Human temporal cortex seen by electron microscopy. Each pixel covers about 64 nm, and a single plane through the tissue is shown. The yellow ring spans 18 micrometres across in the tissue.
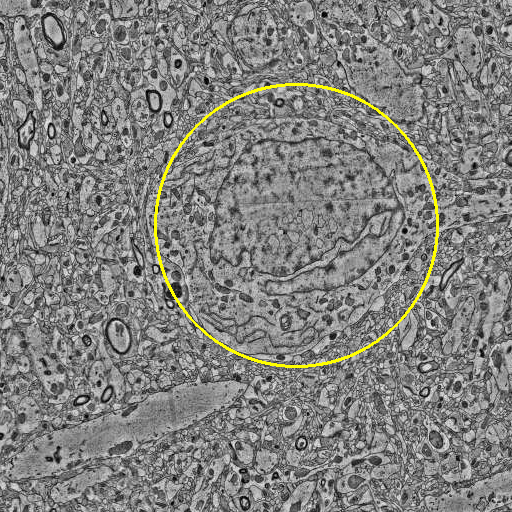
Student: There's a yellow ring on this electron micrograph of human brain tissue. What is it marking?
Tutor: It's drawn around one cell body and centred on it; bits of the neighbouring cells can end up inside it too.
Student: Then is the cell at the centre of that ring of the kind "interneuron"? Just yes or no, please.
yes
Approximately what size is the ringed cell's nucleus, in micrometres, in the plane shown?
The nucleus appears roughly 12 by 10 micrometres in this plane.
